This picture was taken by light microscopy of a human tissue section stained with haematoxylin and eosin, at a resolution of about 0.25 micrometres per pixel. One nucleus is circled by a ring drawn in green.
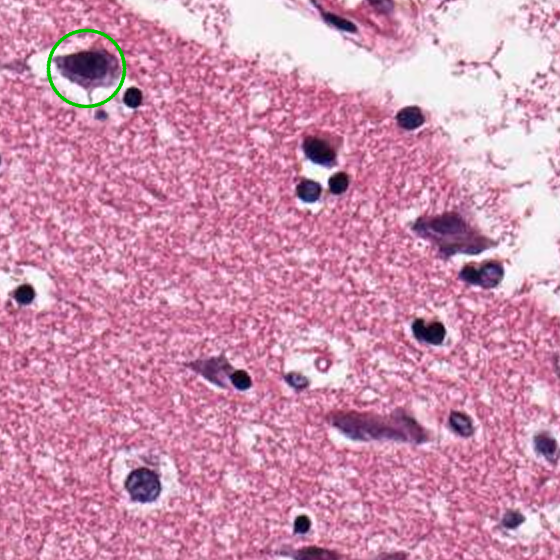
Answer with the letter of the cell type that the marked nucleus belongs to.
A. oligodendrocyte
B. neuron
B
